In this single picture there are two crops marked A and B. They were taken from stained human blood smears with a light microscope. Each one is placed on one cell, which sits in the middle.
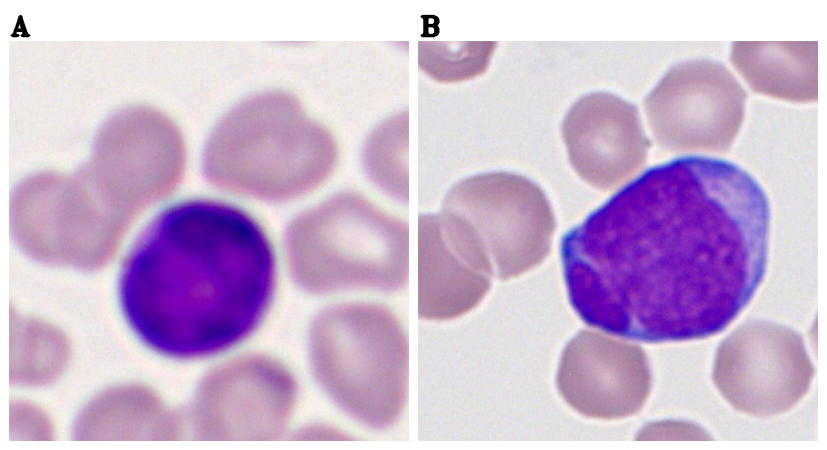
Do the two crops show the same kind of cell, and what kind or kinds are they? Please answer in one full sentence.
Yes, as an answer for this item, both crops show blasts.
